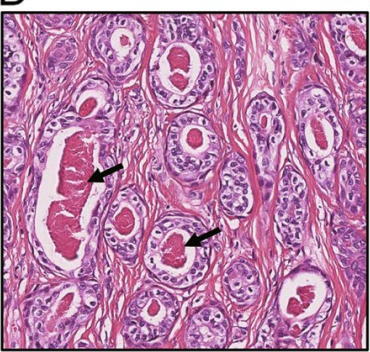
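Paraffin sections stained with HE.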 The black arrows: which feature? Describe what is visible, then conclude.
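Many small duct-like structures lined by one or two layers of cuboidal cells. Their lumens contain deep pink homogeneous material. The answer: eosinophilic secretions within the lumen.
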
